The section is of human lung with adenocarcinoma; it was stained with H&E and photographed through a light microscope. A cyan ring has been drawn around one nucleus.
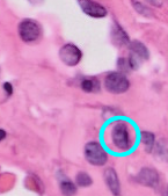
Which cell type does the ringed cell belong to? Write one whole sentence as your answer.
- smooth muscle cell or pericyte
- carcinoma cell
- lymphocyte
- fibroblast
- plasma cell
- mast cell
This is a lymphocyte.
